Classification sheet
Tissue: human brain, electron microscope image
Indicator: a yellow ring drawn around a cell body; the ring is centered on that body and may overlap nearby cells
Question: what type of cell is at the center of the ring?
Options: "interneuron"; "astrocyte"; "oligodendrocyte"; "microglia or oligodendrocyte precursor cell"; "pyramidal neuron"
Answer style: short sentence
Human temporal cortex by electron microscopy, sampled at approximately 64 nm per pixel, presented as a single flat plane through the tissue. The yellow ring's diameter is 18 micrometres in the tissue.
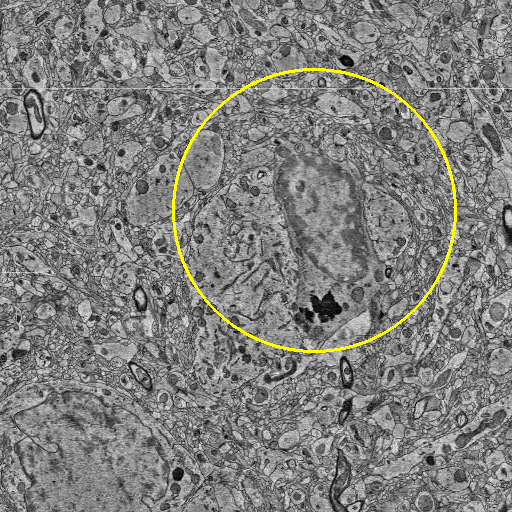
At the ring's center is an oligodendrocyte.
